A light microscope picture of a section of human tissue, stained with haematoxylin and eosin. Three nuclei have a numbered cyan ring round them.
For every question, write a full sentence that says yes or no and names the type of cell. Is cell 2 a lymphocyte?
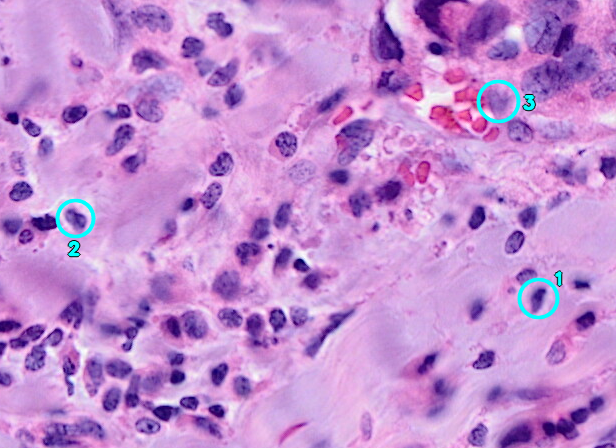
Yes, the cell with number 2 is a lymphocyte.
